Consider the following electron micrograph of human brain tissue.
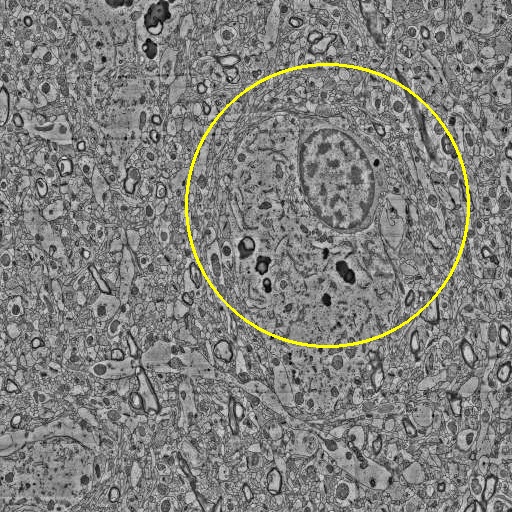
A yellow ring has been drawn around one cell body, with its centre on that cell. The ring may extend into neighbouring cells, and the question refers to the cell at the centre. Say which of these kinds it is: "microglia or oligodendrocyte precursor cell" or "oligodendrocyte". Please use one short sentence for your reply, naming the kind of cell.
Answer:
The centre of the ring falls on an oligodendrocyte.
